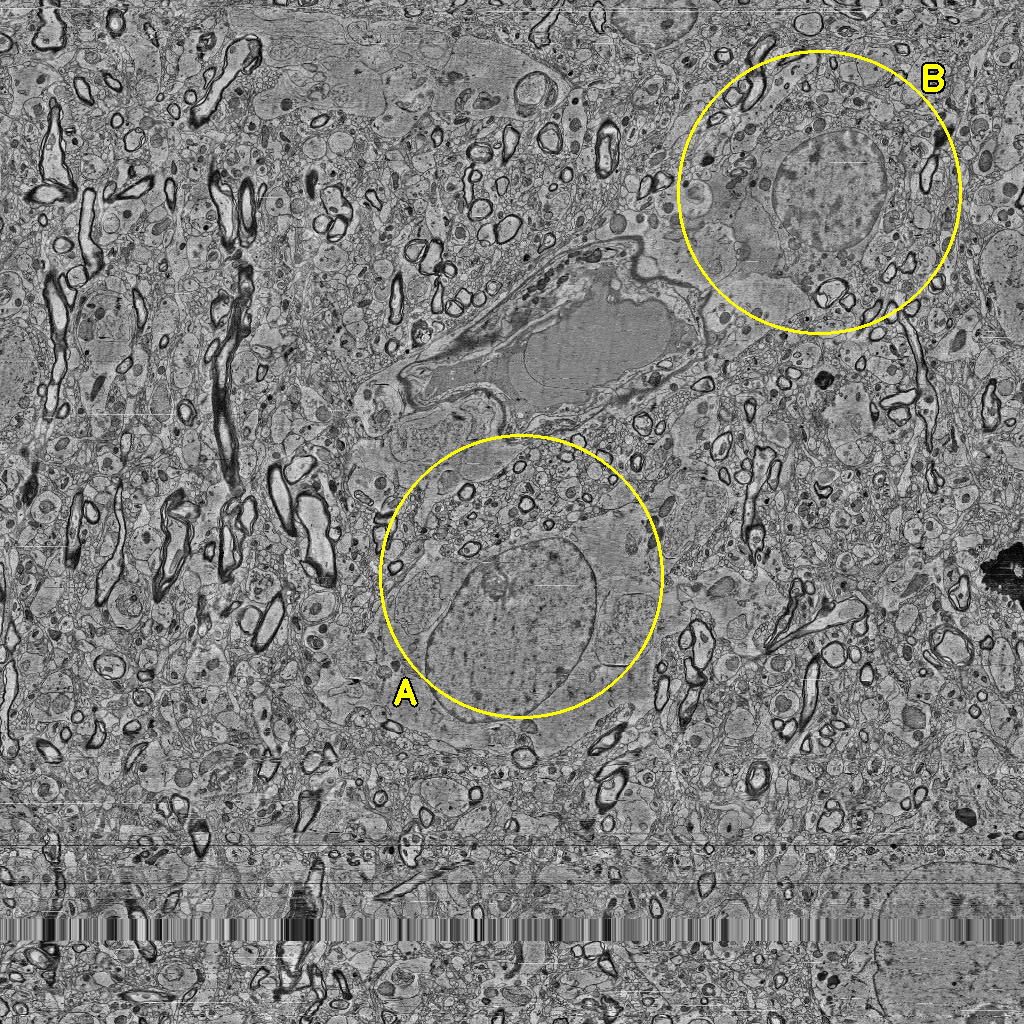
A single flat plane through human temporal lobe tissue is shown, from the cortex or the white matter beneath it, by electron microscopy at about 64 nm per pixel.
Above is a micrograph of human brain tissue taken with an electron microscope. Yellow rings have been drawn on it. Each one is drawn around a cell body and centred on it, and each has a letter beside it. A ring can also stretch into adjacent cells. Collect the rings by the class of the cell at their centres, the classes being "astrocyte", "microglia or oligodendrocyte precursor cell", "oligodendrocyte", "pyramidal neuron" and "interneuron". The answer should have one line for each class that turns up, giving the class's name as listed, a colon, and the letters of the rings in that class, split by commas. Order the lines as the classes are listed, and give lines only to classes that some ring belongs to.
astrocyte: A
oligodendrocyte: B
